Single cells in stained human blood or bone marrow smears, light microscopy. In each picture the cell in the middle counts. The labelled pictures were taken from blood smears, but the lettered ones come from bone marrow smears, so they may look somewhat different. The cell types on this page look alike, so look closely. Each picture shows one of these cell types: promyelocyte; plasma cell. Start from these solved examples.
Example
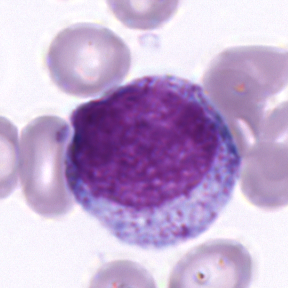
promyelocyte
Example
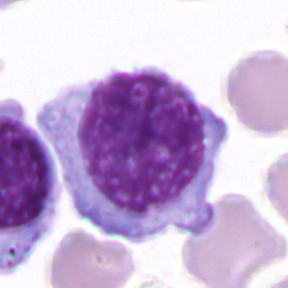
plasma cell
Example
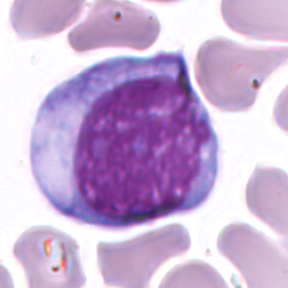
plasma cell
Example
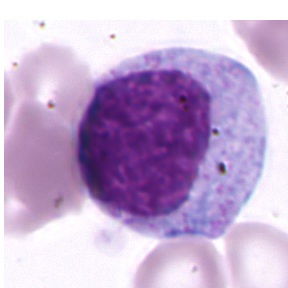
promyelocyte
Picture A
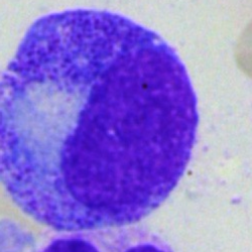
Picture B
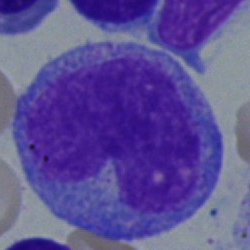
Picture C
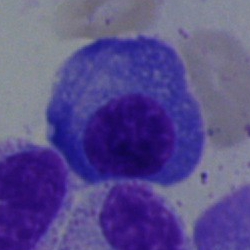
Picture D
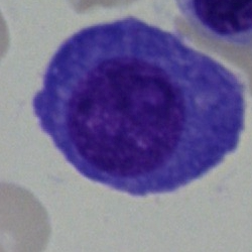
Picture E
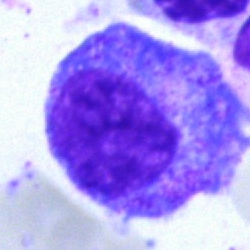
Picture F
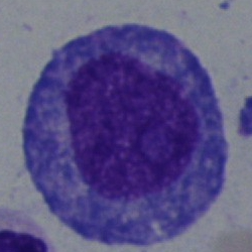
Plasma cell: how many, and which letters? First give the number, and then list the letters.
Count: 2 (C, D)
